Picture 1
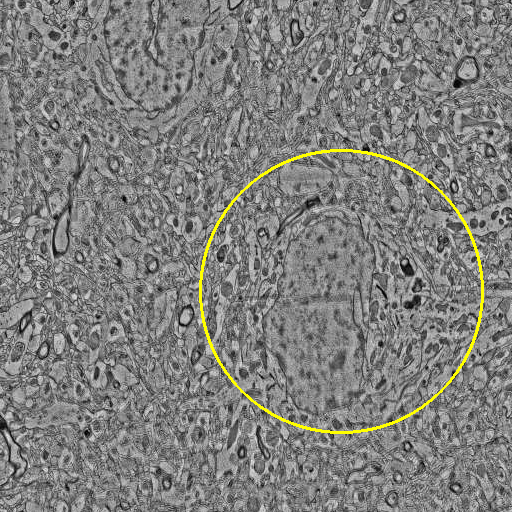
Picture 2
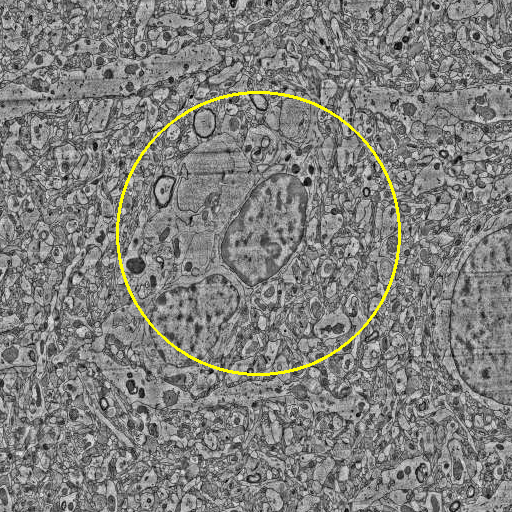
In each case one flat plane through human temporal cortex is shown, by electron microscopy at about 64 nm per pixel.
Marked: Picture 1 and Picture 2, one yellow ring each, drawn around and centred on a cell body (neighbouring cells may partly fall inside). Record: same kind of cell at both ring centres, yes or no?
no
